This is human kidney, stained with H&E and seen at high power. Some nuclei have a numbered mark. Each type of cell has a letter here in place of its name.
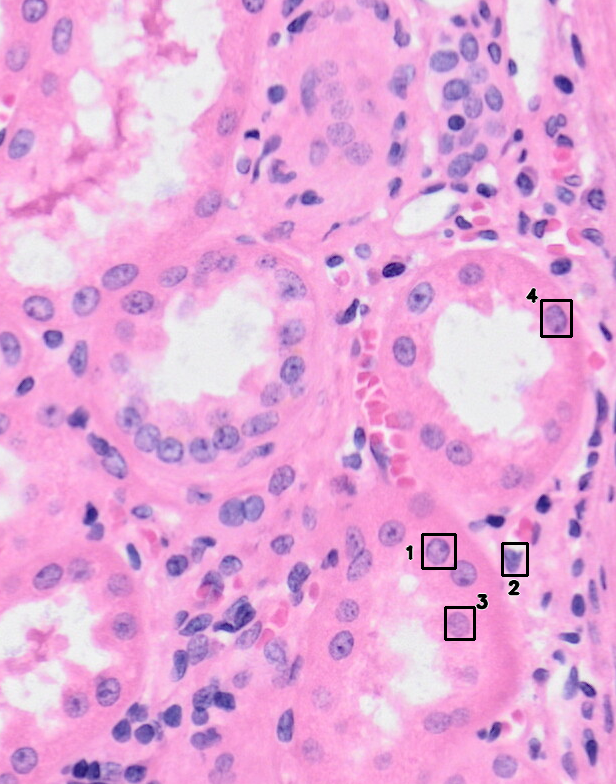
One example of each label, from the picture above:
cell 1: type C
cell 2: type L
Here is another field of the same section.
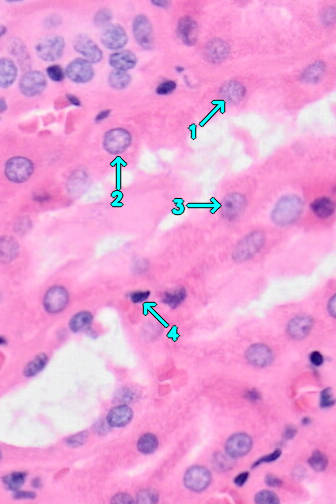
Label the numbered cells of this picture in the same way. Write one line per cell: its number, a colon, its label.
1: type C
2: type C
3: type C
4: type L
